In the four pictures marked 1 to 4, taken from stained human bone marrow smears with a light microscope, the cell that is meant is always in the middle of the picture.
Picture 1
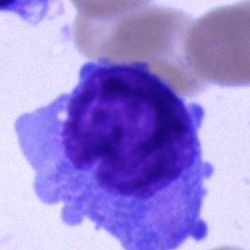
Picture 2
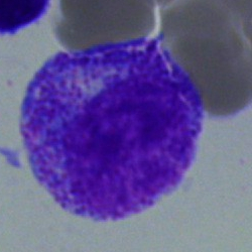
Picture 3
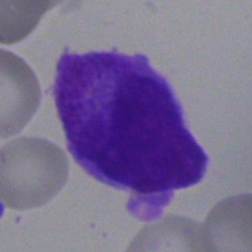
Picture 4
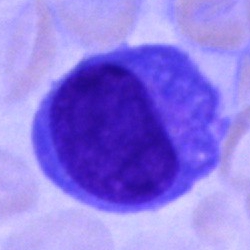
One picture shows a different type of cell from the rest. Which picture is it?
2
